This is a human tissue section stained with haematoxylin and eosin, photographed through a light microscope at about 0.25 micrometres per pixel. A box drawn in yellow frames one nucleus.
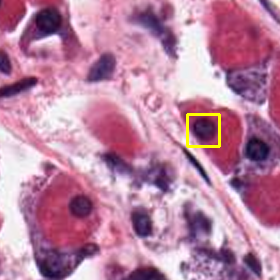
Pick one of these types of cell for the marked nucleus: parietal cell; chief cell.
parietal cell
